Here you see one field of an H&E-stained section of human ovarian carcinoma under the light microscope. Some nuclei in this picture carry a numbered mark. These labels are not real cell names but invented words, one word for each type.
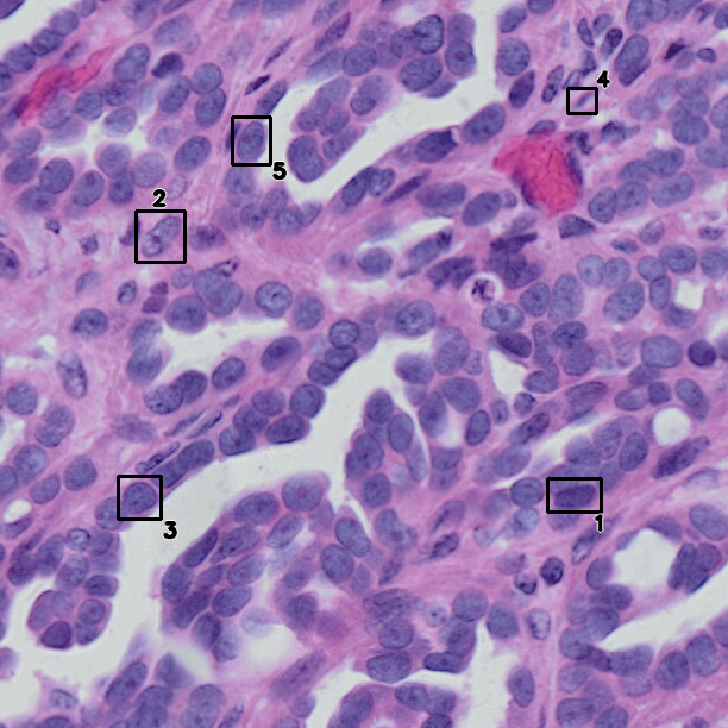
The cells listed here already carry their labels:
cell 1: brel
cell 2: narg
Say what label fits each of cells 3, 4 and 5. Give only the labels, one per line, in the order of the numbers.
brel
narg
brel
